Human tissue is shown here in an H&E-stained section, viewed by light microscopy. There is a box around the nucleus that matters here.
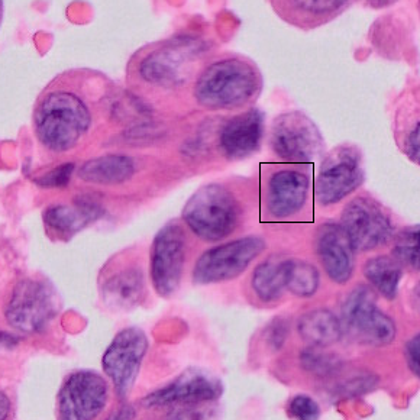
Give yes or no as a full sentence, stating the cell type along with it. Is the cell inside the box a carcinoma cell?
Yes, to put it simply, the cell inside the box is a carcinoma cell.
